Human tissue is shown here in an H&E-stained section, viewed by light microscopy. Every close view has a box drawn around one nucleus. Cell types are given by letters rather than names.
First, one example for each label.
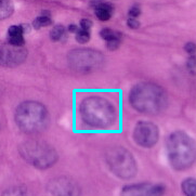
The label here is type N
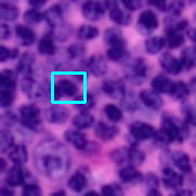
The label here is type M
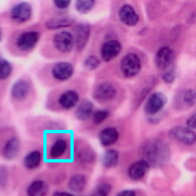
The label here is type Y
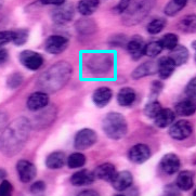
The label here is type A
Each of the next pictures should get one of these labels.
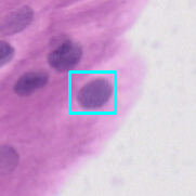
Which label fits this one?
type N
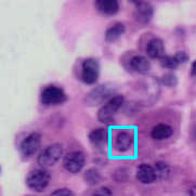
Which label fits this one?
type Y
